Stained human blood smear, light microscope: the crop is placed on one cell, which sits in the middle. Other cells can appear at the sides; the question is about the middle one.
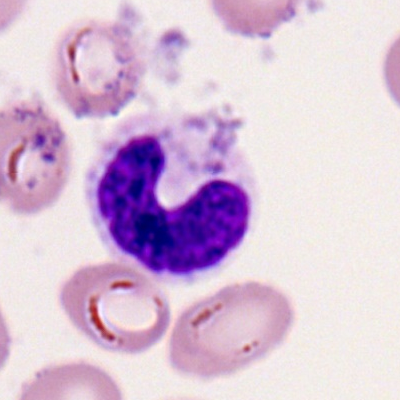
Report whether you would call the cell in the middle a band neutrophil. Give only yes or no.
yes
